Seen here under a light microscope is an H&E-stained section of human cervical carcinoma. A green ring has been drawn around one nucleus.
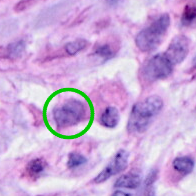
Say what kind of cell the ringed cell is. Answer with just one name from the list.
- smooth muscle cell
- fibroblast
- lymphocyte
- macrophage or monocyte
macrophage or monocyte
